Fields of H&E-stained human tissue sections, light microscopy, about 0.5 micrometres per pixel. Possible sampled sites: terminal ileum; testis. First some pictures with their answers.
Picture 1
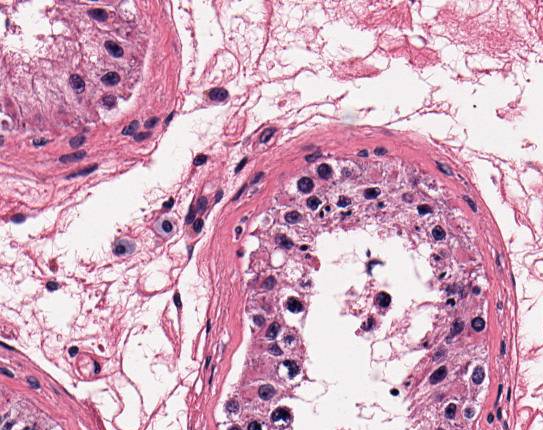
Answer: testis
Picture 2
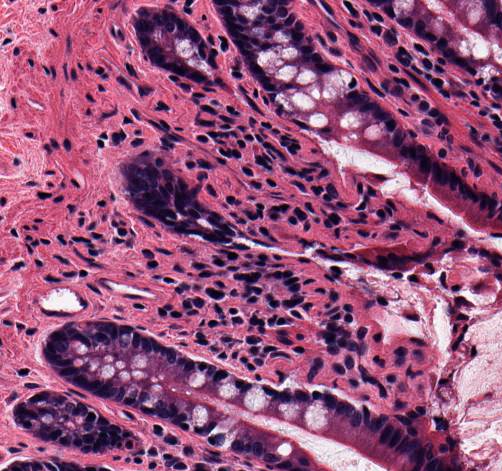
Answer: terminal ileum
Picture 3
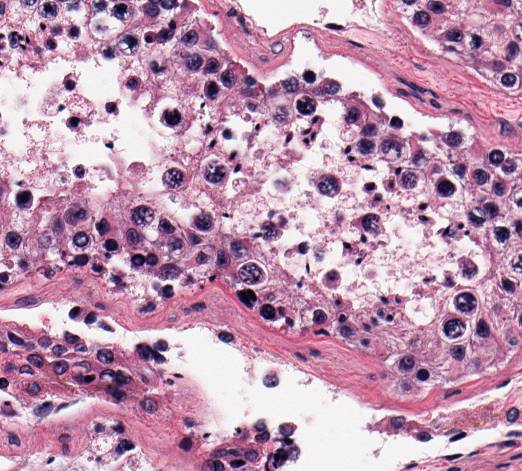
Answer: testis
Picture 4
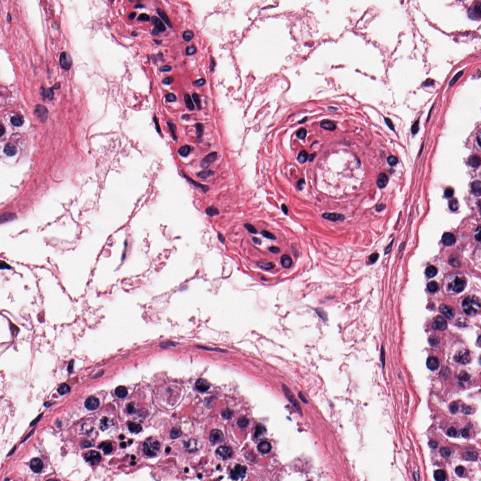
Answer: testis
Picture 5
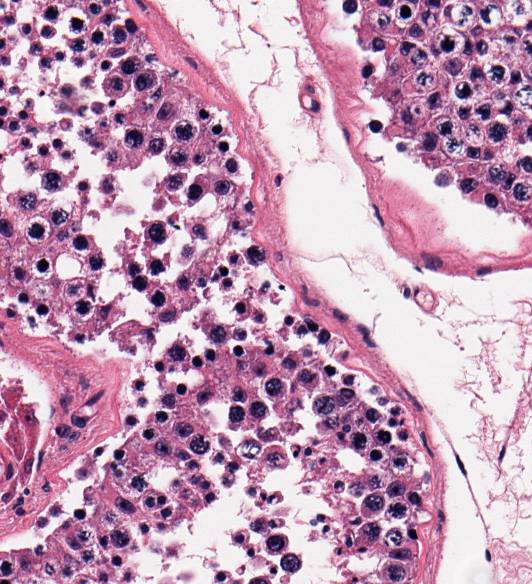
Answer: testis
